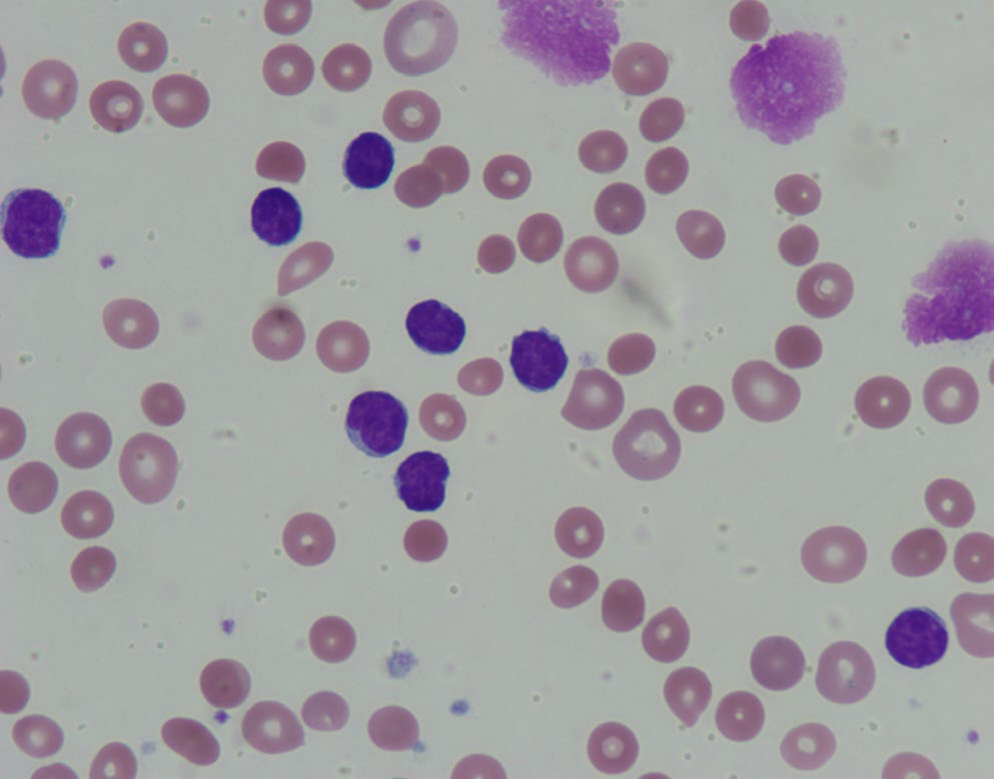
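This peripheral blood smear shows several small lymphoid cells among red cells. The lymphoid cells are round, about the size of a red cell or slightly larger. Each has a round, deep purple nucleus with dense, clumped chromatin, and only a thin, barely visible rim of pale blue cytoplasm. Near the top and at the right edge lie large, ragged, pale purple smudge cells. These are smeared nuclear remnants without an intact outline. Most red cells are pink discs with central pallor. Some are smaller, stain more densely and lack the central pale zone, as spherocytes do. A few small platelets are scattered between them.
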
